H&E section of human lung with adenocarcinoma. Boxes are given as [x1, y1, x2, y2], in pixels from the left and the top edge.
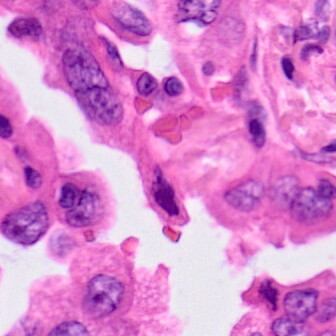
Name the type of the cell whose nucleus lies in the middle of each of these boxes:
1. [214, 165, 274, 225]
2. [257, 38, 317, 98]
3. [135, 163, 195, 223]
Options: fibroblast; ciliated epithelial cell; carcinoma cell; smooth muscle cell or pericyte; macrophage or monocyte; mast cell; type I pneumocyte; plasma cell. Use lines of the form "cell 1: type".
cell 1: carcinoma cell
cell 2: plasma cell
cell 3: carcinoma cell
